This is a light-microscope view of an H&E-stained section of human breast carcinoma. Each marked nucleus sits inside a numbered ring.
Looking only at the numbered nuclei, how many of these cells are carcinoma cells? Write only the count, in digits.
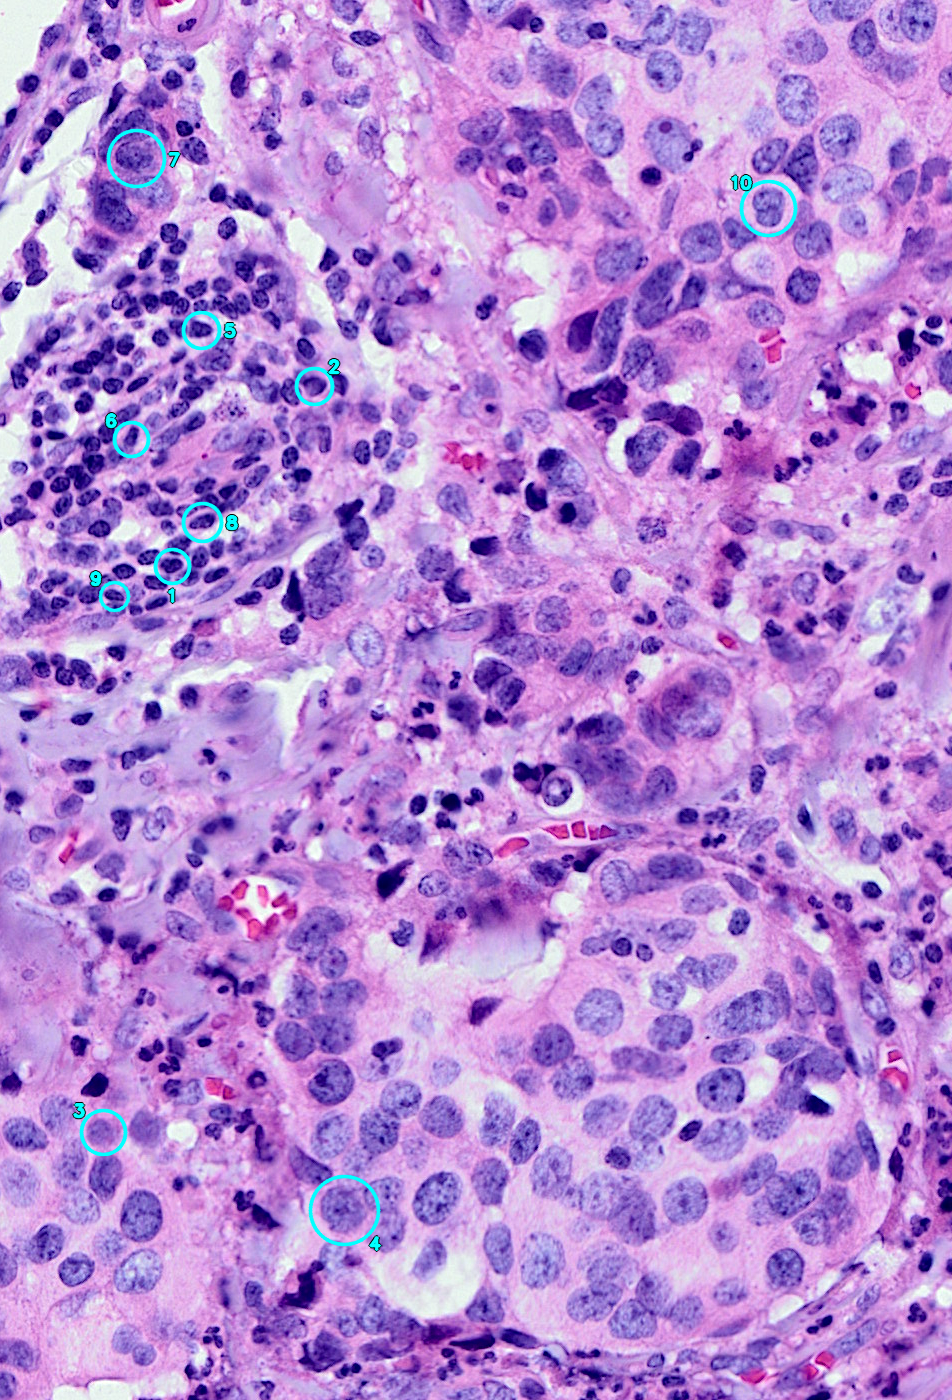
4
